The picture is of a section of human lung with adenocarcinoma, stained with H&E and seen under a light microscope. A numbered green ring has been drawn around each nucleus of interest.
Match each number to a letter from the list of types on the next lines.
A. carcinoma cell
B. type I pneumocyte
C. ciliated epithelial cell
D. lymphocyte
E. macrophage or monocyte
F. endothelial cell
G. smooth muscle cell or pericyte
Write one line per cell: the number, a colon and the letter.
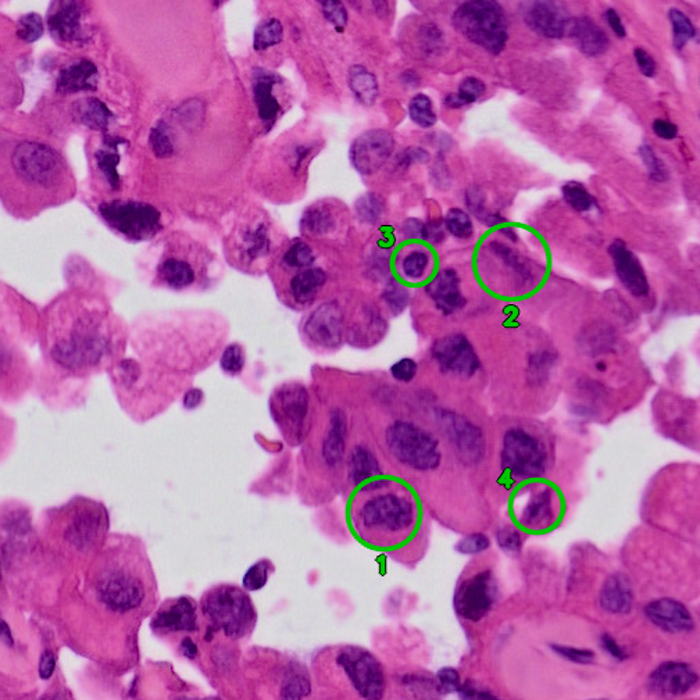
1: A
2: A
3: D
4: A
